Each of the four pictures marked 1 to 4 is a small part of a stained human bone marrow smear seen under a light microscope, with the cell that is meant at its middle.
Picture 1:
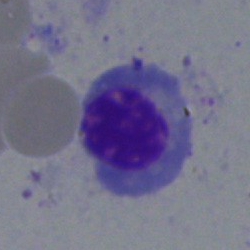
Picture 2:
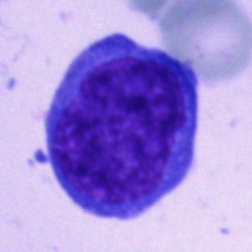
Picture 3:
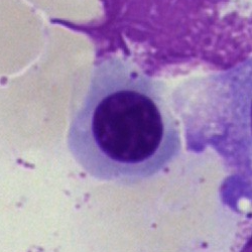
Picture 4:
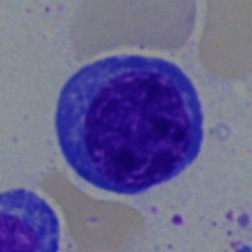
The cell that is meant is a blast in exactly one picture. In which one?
2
